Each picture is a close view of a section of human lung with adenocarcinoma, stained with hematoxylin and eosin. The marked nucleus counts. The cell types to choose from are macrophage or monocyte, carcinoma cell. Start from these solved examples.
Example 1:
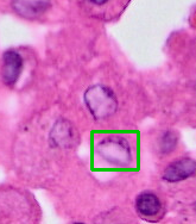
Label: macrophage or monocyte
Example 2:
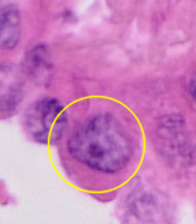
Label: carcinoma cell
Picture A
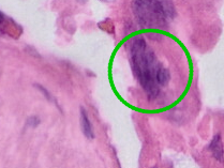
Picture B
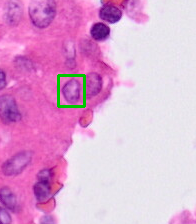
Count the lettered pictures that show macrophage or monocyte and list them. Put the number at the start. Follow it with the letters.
Count: 1 (B)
